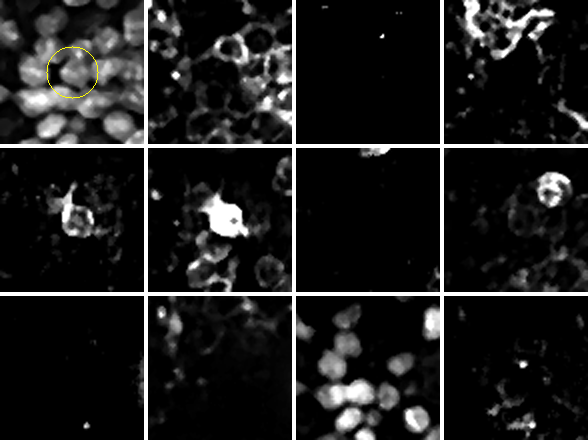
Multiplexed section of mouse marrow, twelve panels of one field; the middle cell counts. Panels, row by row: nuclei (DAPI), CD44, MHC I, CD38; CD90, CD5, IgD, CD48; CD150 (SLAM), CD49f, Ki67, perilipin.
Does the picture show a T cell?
Yes.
